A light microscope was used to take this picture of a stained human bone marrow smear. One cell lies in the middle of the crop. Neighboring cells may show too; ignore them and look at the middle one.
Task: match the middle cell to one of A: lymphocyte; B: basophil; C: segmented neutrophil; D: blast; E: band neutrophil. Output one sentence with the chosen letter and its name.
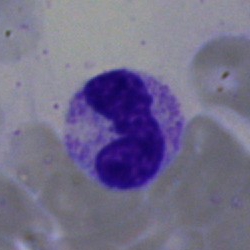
Option E is the right choice, the central cell being a band neutrophil.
